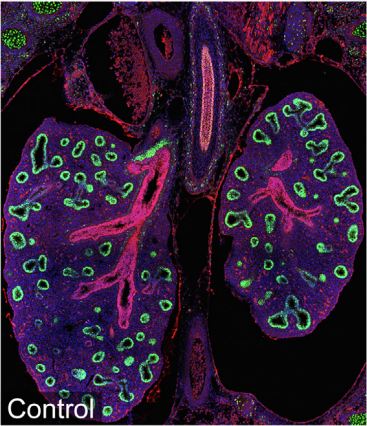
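Two lung lobes with a central tube between them are shown, filled with blue-stained mesenchyme in which numerous small epithelial tubules branch. Small round green-ringed tubule tips, the distal epithelium, are scattered throughout the periphery of the lobes, while larger red-lined branching airways run through the central part of each lobe.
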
